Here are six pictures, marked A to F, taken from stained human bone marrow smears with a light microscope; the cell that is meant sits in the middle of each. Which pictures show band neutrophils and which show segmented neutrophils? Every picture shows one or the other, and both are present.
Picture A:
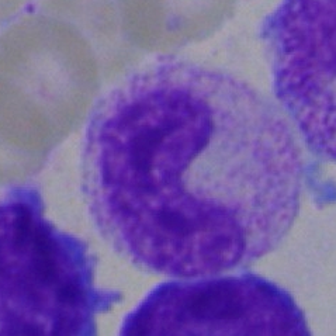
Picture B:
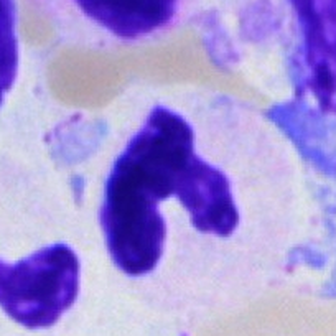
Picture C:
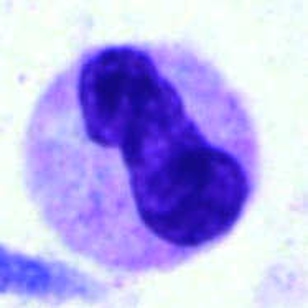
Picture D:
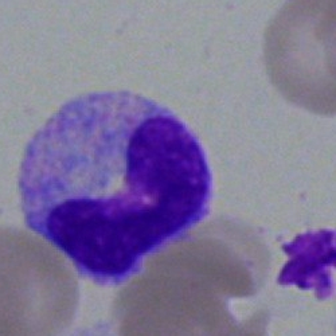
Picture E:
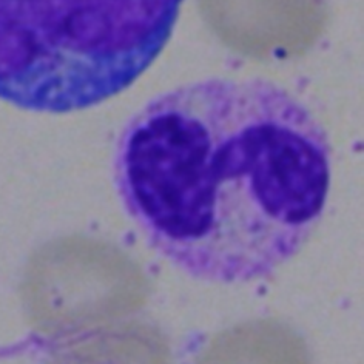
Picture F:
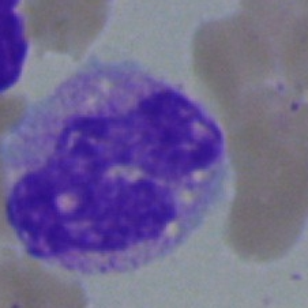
A: band neutrophil
B: segmented neutrophil
C: band neutrophil
D: band neutrophil
E: segmented neutrophil
F: band neutrophil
